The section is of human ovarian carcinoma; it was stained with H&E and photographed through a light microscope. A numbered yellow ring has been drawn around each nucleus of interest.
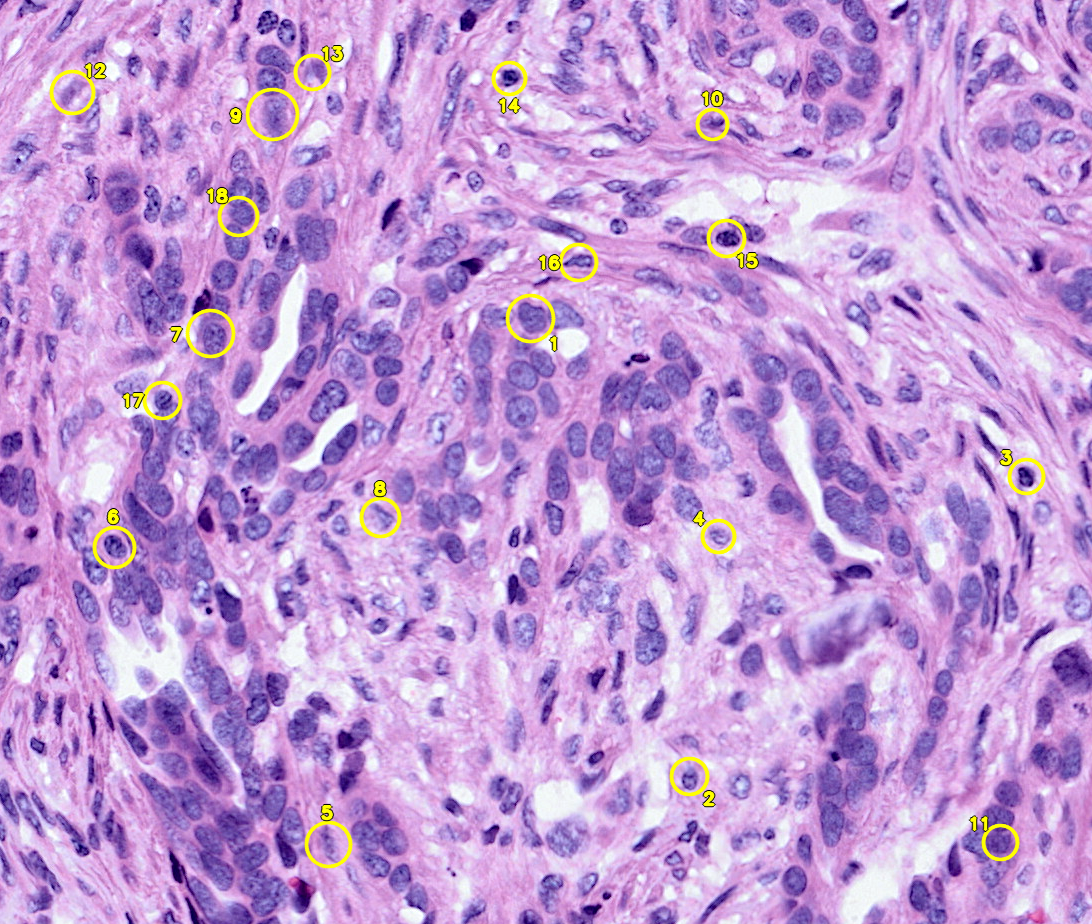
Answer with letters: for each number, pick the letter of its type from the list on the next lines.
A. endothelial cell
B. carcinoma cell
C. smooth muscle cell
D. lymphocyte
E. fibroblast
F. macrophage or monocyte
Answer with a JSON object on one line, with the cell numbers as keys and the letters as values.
{"1": "B", "2": "F", "3": "D", "4": "F", "5": "E", "6": "D", "7": "B", "8": "E", "9": "B", "10": "E", "11": "B", "12": "E", "13": "E", "14": "D", "15": "D", "16": "E", "17": "D", "18": "B"}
